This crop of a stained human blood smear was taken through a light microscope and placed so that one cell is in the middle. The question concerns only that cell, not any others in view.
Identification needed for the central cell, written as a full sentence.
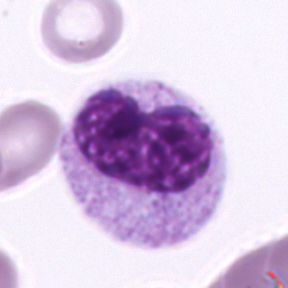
The cell centred in this crop is categorized as a metamyelocyte.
